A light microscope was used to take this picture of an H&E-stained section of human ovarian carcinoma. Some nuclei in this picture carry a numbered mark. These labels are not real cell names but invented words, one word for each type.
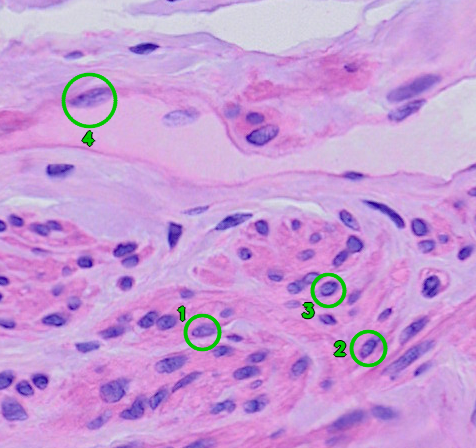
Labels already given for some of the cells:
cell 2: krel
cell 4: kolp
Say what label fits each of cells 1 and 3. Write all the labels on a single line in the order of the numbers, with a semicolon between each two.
krel; krel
